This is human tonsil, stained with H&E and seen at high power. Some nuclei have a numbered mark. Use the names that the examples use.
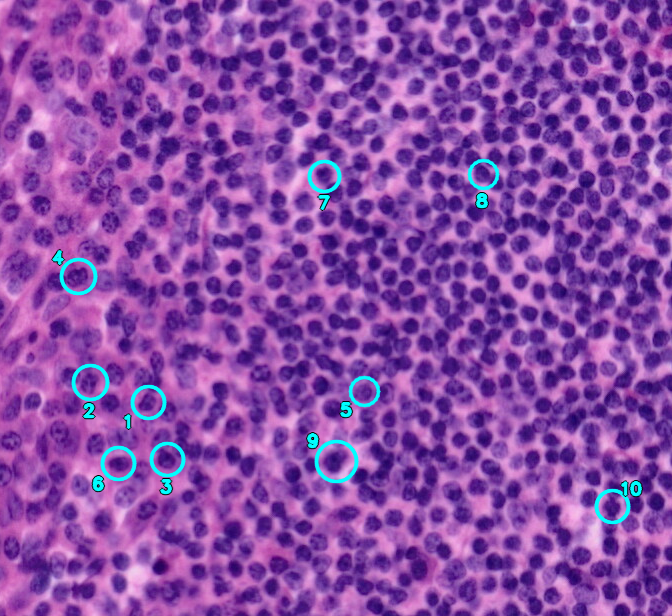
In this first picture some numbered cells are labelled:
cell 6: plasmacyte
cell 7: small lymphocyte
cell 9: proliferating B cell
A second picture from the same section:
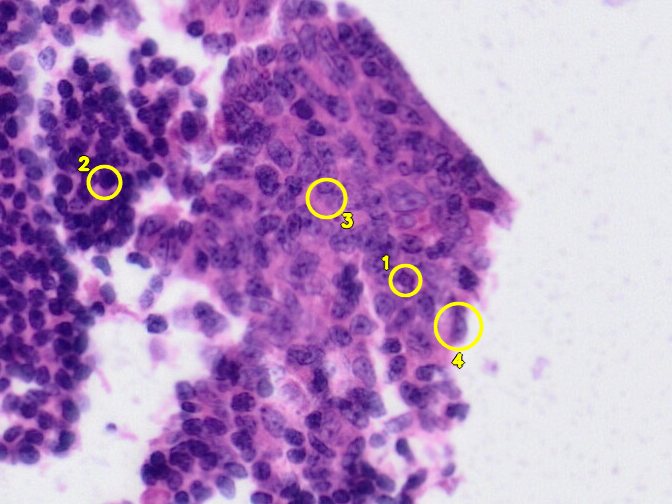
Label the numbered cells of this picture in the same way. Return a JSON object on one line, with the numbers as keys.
{"1": "proliferating B cell", "2": "small lymphocyte", "3": "proliferating B cell", "4": "proliferating B cell"}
